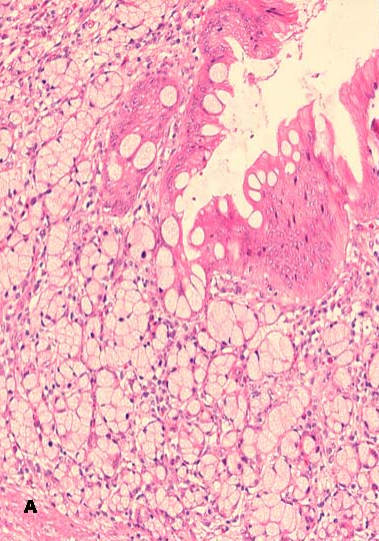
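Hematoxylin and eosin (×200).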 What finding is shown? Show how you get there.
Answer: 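Numerous small nests and clusters of cells with pale, clear, mucin-filled cytoplasm fill the lower part of the field. The nests are separated by thin strands of pink stroma. Nuclei are small and pushed to the edge of the mucin-filled cells.
Conclusion: goblet cell carcinoid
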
